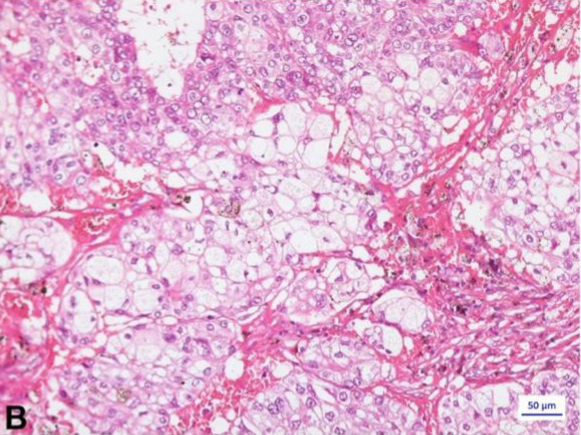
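This is a tumor made of lobules of cells, many of which have abundant pale, clear cytoplasm broken up into numerous small vacuoles, giving a bubbly look. Their nuclei are round to oval, mostly central, with visible nucleoli. Thin strands of pink fibrous stroma run between the cell groups, and scattered brown pigment lies in the stroma. Some spaces between cells are empty, likely from tissue retraction.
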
